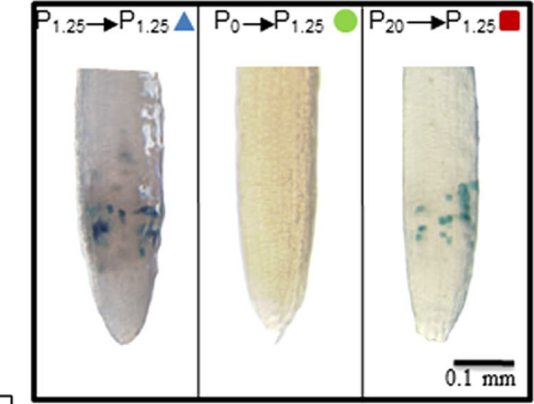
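Three root tips are shown side by side, each a cylindrical, translucent organ ending in a rounded, tapered cap. The left root carries several dark blue spots clustered a short distance behind its tip, over a faintly bluish background. The middle root is uniformly pale yellowish with no blue spots.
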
